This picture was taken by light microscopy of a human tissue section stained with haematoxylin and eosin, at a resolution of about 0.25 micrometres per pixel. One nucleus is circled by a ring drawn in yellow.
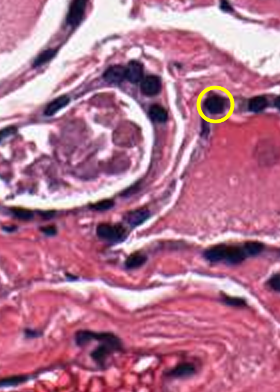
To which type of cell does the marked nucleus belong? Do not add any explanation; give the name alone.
thyroid follicular cell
